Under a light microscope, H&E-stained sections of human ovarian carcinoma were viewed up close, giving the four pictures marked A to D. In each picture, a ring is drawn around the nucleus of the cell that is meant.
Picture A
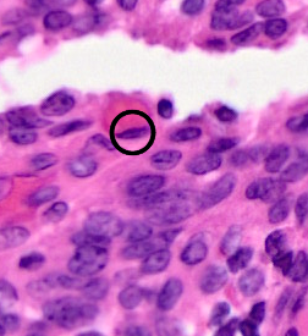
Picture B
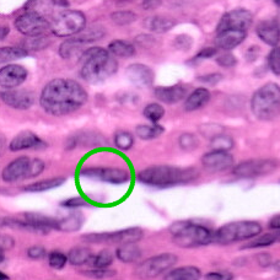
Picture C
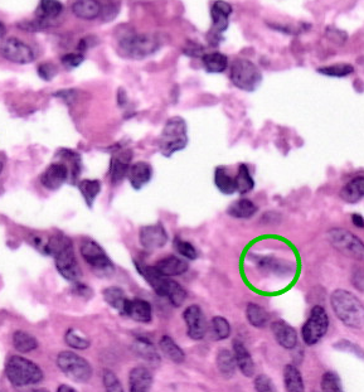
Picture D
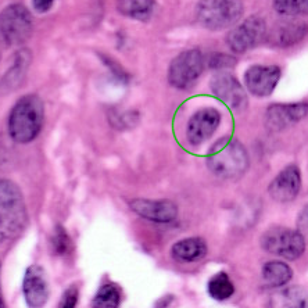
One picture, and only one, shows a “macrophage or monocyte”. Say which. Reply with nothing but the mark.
D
